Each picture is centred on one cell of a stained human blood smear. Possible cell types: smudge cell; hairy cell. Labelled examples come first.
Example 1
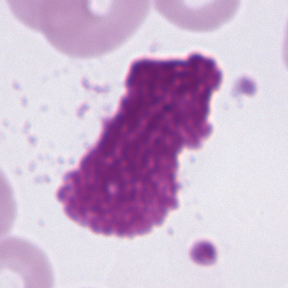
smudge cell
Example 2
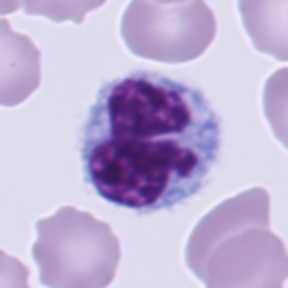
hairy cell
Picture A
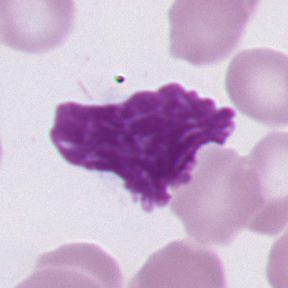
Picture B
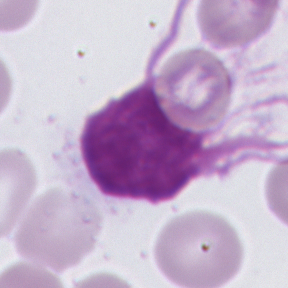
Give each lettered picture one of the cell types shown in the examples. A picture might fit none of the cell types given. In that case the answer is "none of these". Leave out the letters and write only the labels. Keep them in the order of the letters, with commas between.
smudge cell, smudge cell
